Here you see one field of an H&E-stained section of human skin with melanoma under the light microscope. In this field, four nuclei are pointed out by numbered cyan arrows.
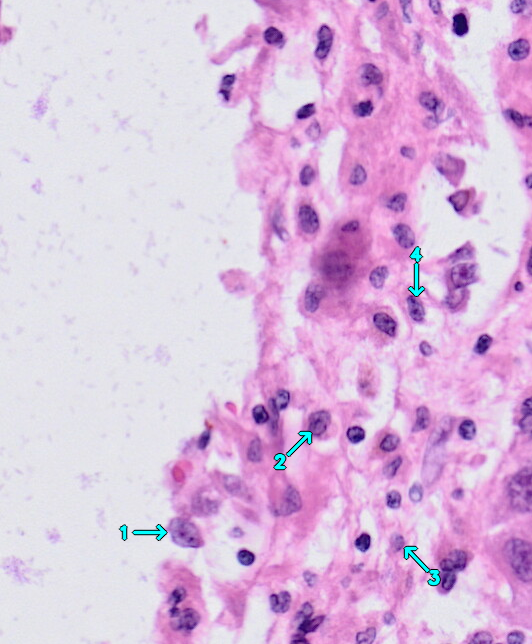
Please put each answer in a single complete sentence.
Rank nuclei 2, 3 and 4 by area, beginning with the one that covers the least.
From smallest to largest, the order is 3, 4, 2.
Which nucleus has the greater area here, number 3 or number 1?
Number 1 is larger; its area is about 4 times that of number 3.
